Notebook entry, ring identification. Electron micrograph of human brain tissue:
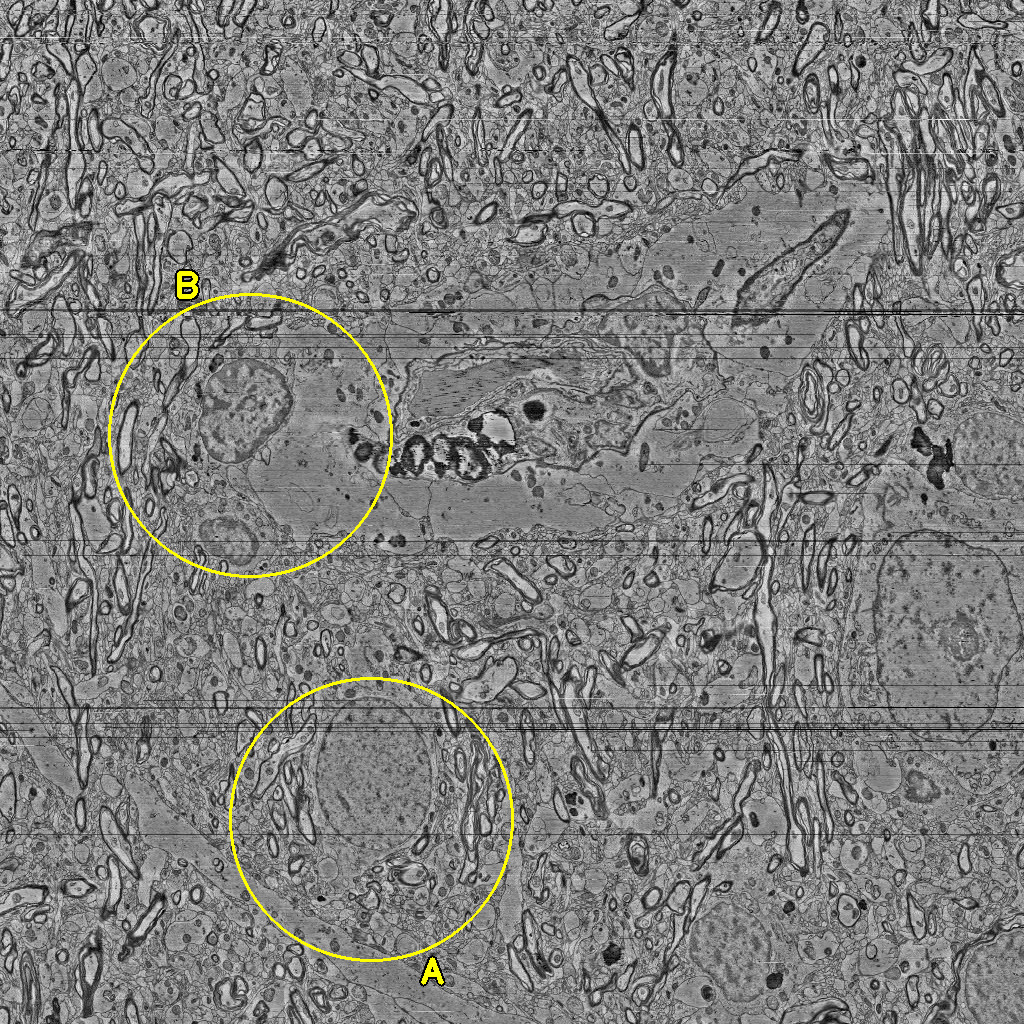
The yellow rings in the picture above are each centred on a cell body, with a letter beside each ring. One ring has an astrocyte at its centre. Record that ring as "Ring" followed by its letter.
Ring A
